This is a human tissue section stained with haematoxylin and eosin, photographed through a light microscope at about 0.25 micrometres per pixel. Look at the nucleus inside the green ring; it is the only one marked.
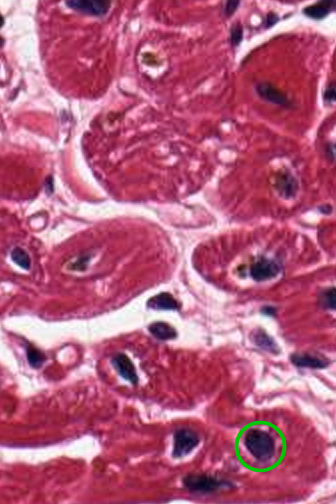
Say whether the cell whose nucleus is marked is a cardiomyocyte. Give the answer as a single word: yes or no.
yes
